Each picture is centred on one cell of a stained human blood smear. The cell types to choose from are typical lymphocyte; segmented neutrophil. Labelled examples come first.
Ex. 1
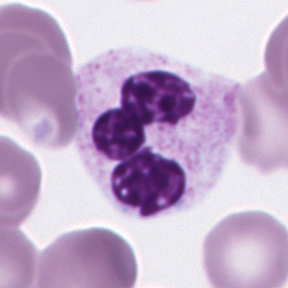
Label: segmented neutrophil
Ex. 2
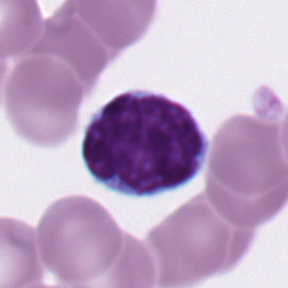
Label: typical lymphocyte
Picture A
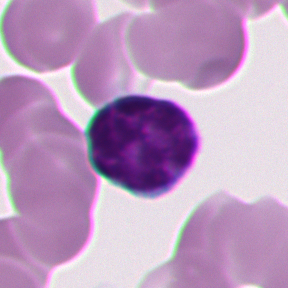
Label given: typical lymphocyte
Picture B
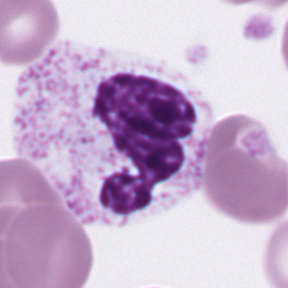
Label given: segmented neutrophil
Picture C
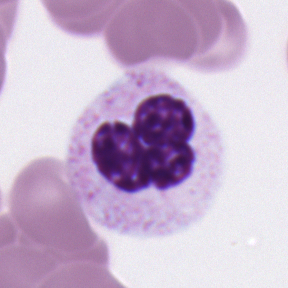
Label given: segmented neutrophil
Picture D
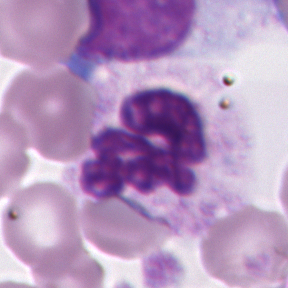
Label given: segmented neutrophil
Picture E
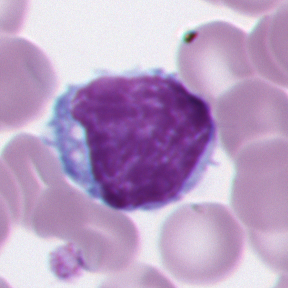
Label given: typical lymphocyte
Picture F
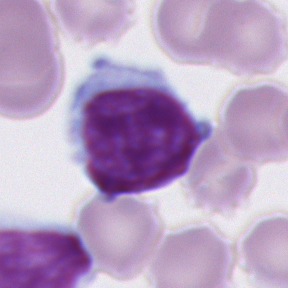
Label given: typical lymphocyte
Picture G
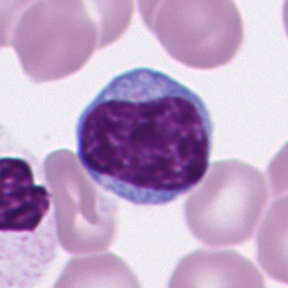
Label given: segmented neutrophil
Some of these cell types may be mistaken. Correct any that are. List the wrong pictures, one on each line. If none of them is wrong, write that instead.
Wrong: G (segmented neutrophil); correct: typical lymphocyte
